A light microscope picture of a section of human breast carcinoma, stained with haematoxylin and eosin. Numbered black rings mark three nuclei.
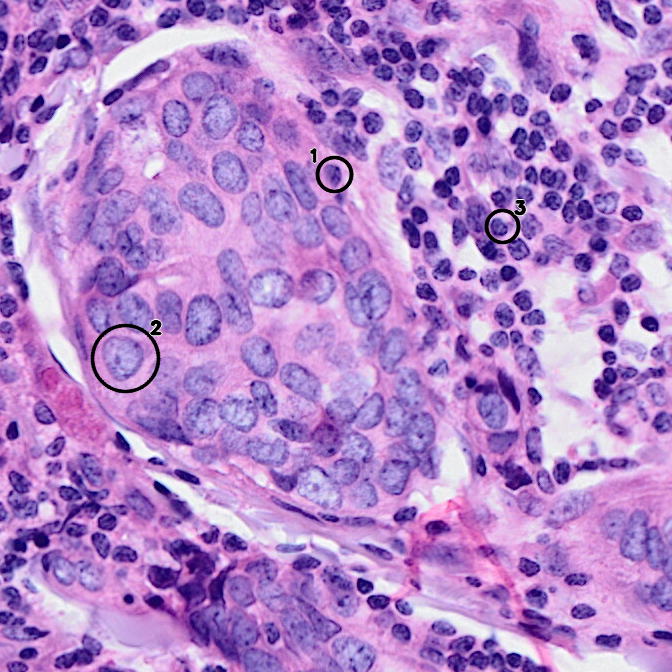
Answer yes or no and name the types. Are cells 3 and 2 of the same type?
No, the cell numbered 3 is a lymphocyte and the cell numbered 2 is a carcinoma cell.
